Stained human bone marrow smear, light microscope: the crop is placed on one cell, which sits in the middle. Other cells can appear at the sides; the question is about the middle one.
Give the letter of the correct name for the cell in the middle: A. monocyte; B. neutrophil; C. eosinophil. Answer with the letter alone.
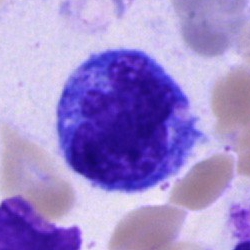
A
